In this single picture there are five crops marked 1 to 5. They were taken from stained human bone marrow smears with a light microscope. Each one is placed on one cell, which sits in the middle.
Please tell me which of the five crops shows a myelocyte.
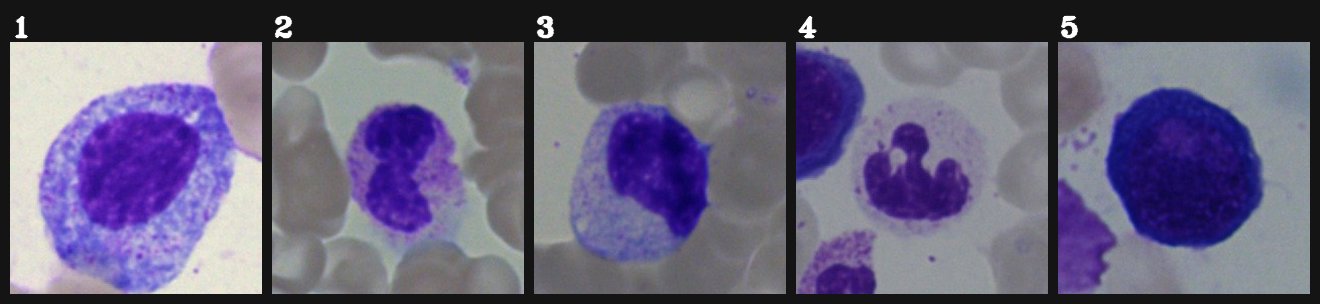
3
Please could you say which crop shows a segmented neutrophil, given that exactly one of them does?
4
